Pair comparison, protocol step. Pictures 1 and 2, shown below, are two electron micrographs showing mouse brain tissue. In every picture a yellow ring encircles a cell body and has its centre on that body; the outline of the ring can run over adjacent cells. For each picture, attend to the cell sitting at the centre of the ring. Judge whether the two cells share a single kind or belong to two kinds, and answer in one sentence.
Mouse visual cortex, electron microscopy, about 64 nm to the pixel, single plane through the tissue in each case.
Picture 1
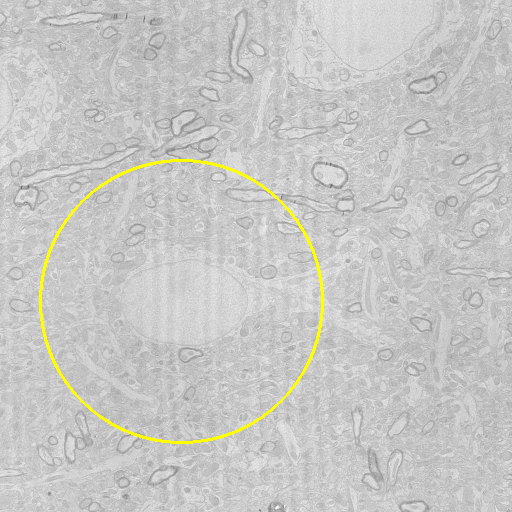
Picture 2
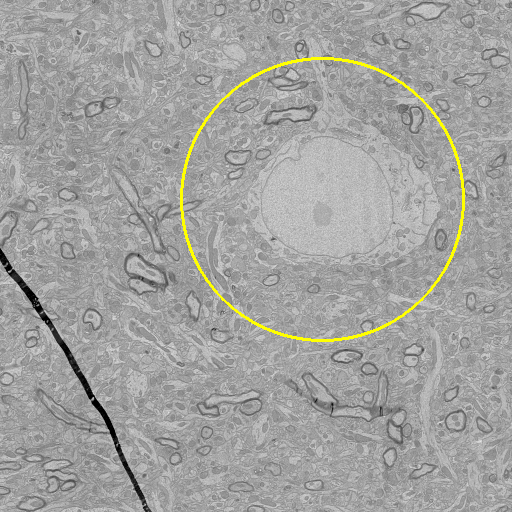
The two cells at the ring centres in Picture 1 and Picture 2 belong to two kinds.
